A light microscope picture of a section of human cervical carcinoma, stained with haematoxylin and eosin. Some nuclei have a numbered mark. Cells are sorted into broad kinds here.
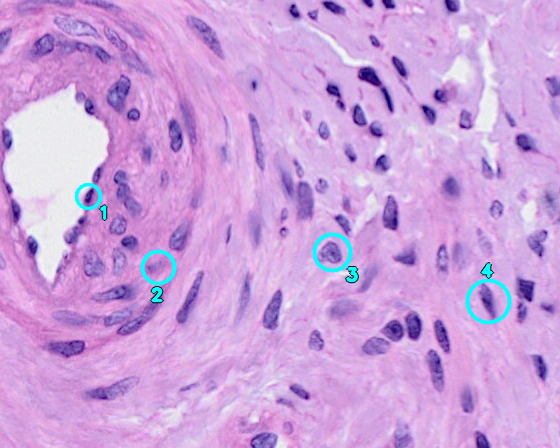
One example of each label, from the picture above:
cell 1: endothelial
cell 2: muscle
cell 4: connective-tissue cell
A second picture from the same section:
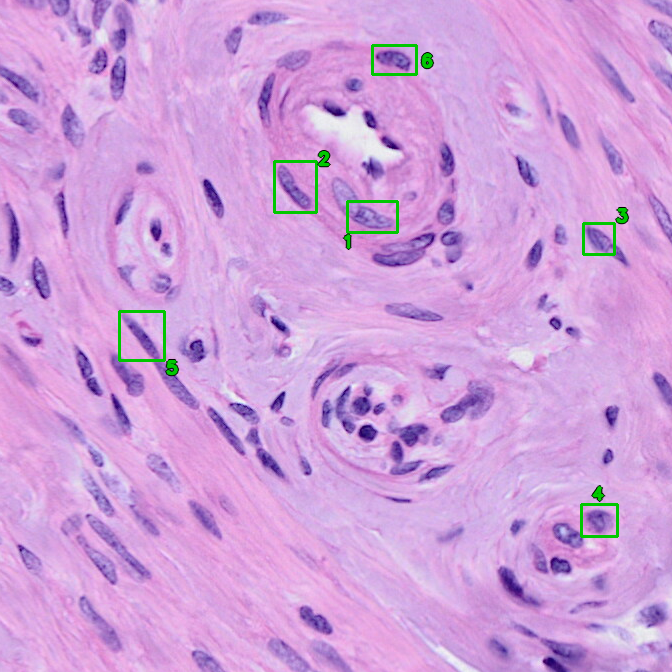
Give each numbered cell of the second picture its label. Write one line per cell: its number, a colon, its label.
1: muscle
2: muscle
3: connective-tissue cell
4: endothelial
5: connective-tissue cell
6: muscle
